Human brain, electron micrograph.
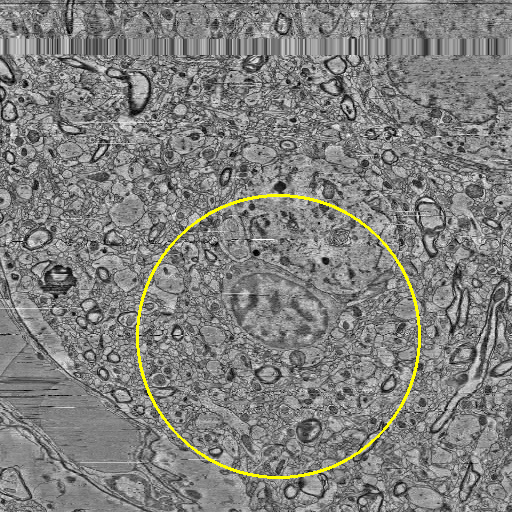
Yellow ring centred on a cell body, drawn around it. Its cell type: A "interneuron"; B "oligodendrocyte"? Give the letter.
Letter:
B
